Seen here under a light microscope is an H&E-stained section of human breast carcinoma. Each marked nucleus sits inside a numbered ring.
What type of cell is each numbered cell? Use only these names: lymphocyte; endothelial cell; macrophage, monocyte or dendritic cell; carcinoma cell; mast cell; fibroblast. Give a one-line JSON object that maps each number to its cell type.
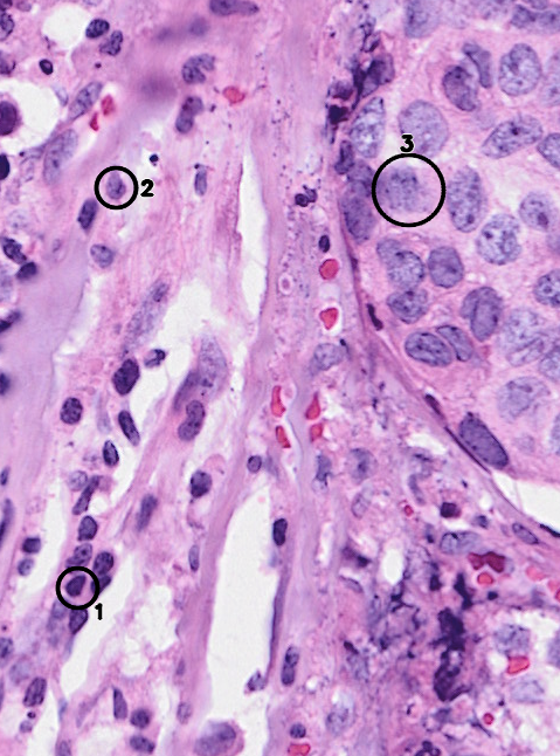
{"1": "lymphocyte", "2": "mast cell", "3": "carcinoma cell"}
